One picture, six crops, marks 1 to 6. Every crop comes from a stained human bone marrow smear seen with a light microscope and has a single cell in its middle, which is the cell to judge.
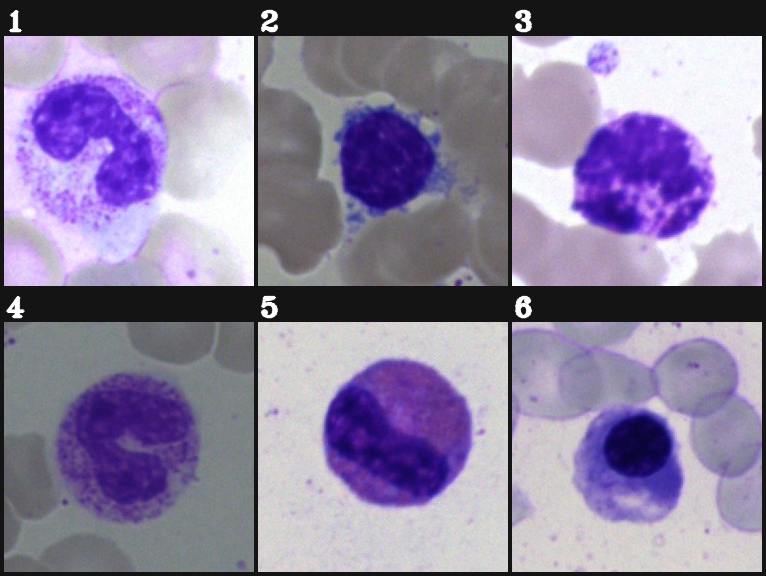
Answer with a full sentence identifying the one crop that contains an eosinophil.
As for which crop shows an eosinophil, it is crop 5.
